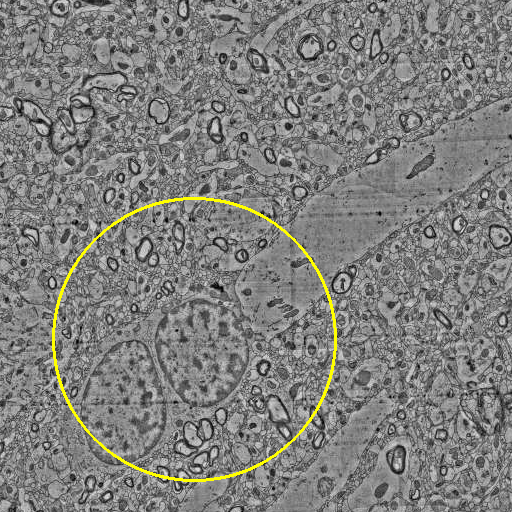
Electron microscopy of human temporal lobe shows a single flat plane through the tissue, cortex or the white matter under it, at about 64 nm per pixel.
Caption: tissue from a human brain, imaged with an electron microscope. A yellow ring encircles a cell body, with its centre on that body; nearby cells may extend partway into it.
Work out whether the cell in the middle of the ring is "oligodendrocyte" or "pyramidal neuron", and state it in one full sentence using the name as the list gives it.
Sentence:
In the picture, the cell that the yellow ring surrounds at its centre is an oligodendrocyte.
